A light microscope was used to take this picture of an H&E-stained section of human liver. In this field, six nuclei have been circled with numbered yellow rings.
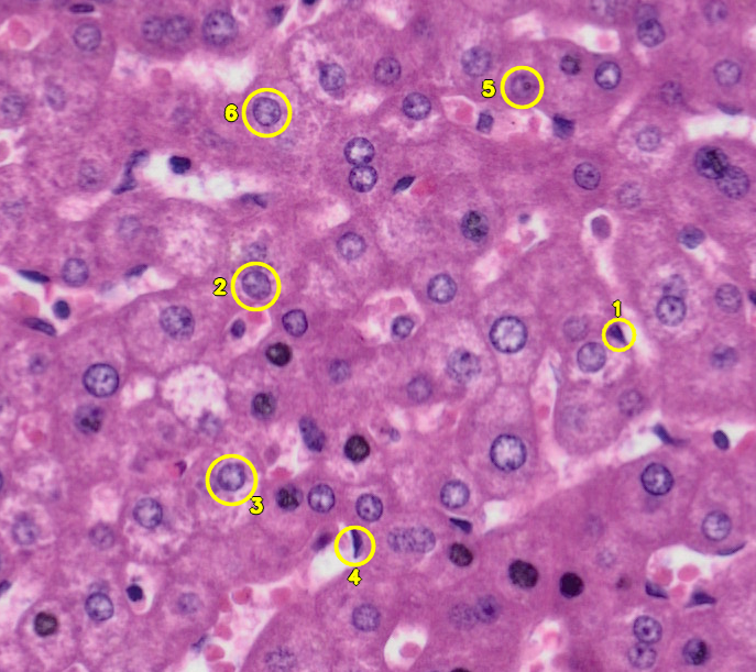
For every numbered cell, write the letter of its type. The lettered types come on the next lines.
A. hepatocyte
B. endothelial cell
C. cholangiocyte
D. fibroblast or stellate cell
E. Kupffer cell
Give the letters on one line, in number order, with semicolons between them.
D; A; A; B; A; A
